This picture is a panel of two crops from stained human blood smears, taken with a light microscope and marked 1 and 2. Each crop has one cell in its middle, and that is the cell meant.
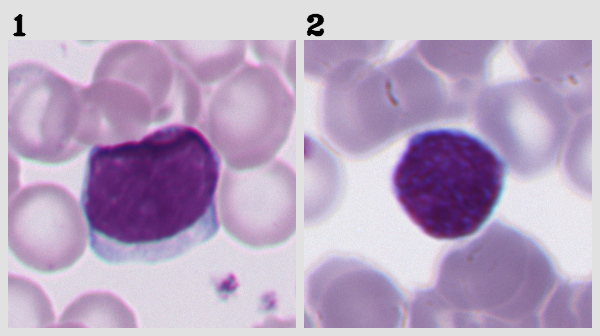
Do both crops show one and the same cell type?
yes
